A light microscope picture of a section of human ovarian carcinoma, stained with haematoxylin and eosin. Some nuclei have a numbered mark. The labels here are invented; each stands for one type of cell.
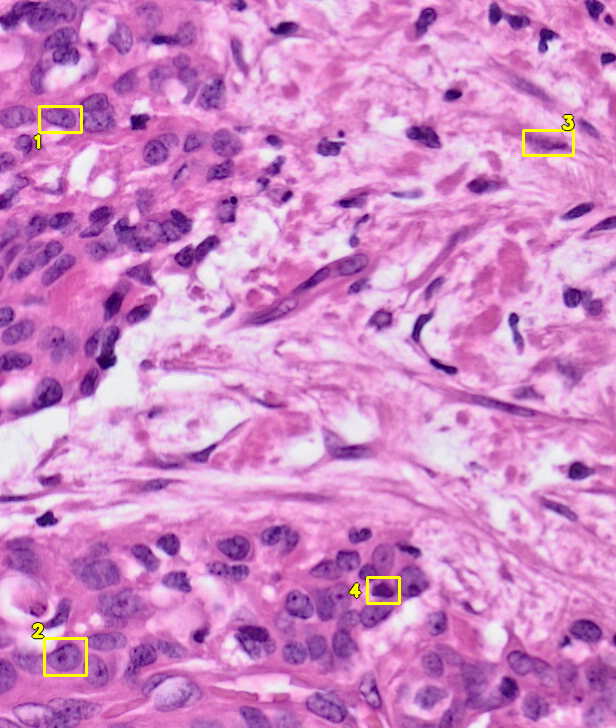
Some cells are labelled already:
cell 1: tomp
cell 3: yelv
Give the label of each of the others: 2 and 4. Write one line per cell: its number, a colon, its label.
2: tomp
4: tomp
